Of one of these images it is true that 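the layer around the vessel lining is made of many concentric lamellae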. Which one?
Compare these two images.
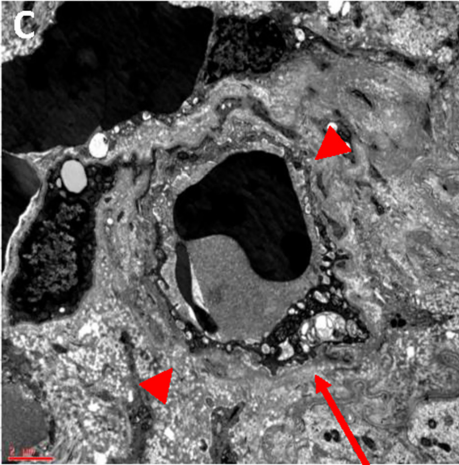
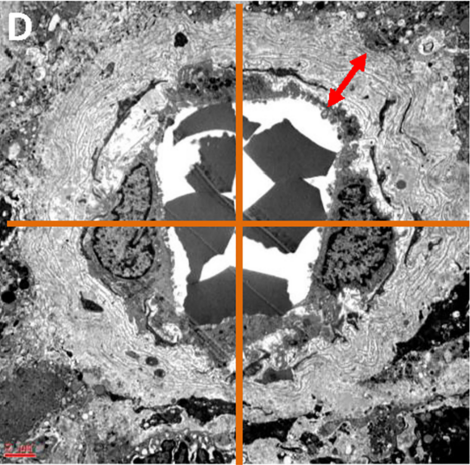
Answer: The second image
